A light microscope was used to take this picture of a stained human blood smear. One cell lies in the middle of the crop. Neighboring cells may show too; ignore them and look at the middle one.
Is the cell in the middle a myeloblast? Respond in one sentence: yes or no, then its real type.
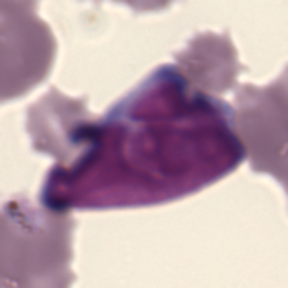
Yes, the centred cell is categorised as a myeloblast.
